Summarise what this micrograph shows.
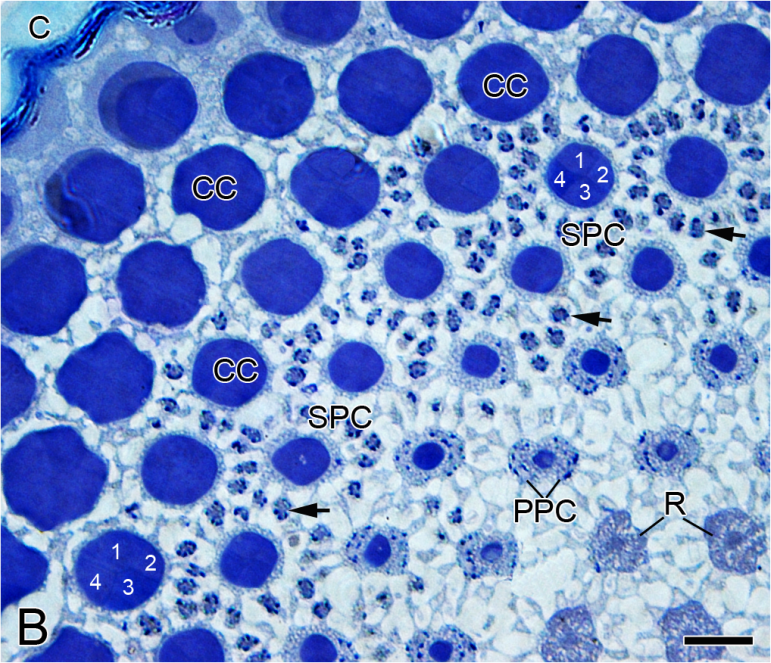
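This oblique cross section of an insect compound eye shows ommatidia in a regular, closely packed array, cut at different depths. Toward the lower right the cones become smaller and are ringed by granular cytoplasm of the primary pigment cells, and at the bottom the photoreceptors appear as rounded, finely textured rosettes.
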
